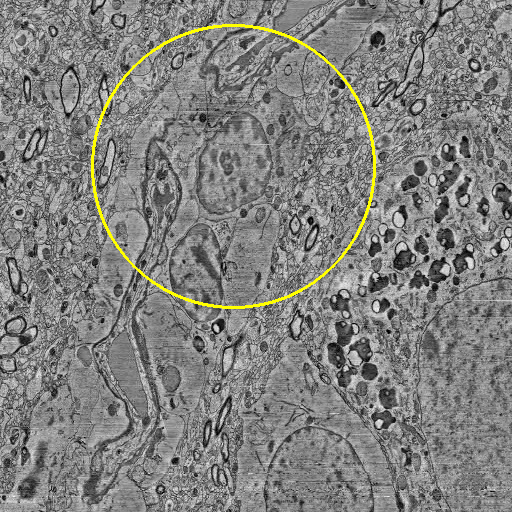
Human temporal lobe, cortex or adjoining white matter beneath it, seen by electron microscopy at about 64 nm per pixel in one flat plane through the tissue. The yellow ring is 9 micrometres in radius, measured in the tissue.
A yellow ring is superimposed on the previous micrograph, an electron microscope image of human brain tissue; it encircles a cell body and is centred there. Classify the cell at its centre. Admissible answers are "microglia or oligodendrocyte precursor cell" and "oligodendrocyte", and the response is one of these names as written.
oligodendrocyte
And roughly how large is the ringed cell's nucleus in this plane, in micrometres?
The nucleus measures about 7 by 5 micrometres in this plane.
